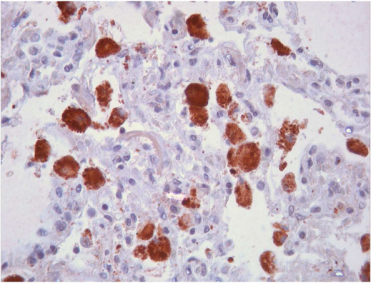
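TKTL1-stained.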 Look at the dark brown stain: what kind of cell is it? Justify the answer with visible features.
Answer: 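Large rounded cells with abundant cytoplasm filled with dark brown stain. These cells lie singly or in small clusters within open air spaces. The surrounding thin-walled tissue with small blue nuclei is largely unstained.
Answer: macrophages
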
